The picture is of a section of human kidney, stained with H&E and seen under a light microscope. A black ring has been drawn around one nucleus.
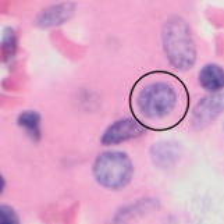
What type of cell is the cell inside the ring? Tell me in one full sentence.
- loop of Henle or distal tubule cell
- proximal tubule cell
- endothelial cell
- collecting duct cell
As far as its identity is concerned, the cell inside the ring is a collecting duct cell.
